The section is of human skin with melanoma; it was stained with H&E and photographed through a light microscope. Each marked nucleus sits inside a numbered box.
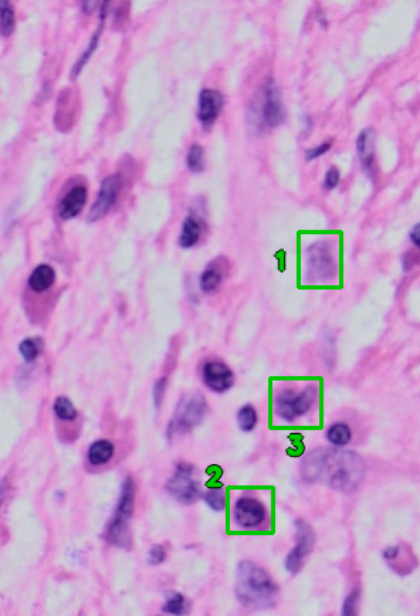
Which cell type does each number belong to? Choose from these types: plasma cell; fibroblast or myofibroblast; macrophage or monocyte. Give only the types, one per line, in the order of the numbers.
fibroblast or myofibroblast
plasma cell
macrophage or monocyte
